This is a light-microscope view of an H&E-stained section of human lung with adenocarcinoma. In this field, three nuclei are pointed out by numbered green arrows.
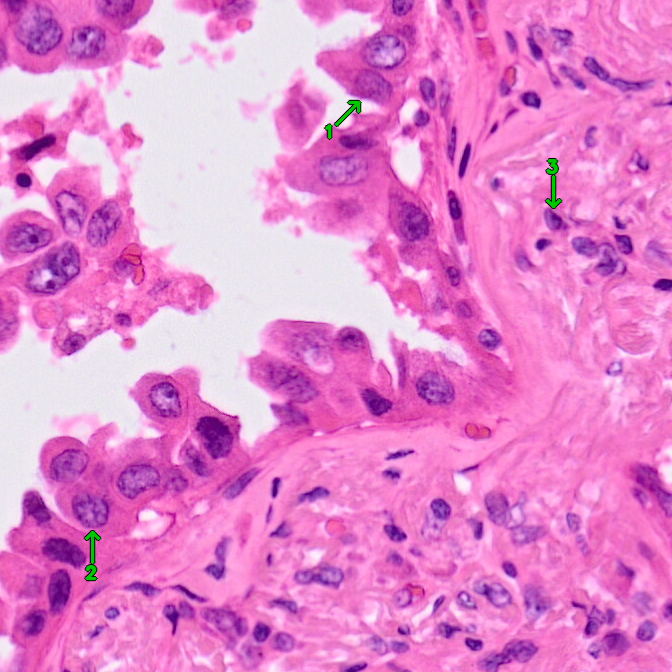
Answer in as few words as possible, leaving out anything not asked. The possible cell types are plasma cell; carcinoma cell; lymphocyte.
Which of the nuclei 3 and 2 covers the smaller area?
3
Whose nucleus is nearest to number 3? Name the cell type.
lymphocyte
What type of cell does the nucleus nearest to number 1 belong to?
carcinoma cell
